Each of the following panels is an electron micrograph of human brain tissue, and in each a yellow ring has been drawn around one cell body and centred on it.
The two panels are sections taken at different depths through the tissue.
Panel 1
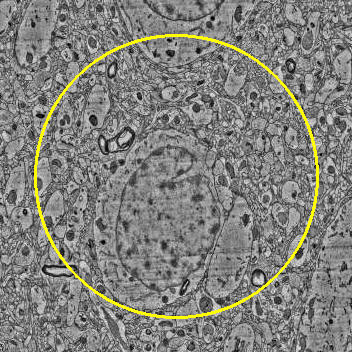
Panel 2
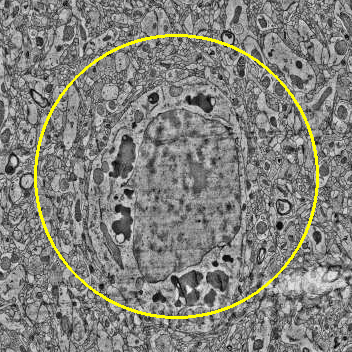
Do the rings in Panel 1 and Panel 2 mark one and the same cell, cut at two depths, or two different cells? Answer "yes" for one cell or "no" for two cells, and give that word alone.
no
